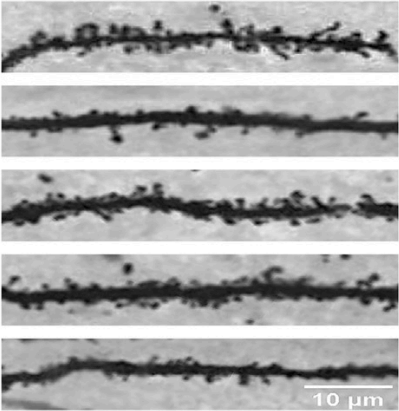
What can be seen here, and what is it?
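Short stretches of Golgi-impregnated dendrites, each shown as a horizontal strip. Every strip shows one dark, straight dendritic shaft of fairly even width. Small dark protrusions arise along both sides of each shaft. They are knob-like or short and stubby, and give the dendrites a beaded, bristly outline. How densely the spines are spaced differs between strips: some segments are crowded with protrusions, while others are smoother, with only sparse spines. The surrounding background is pale grey.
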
